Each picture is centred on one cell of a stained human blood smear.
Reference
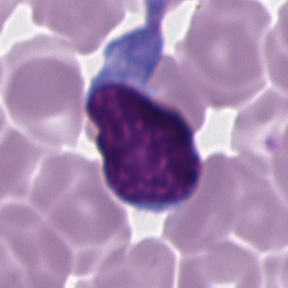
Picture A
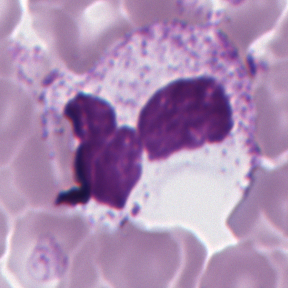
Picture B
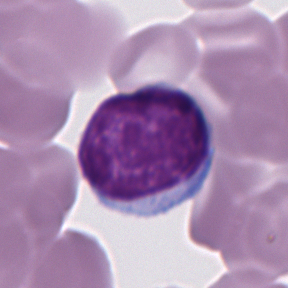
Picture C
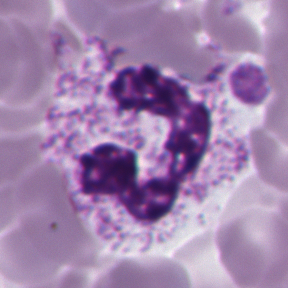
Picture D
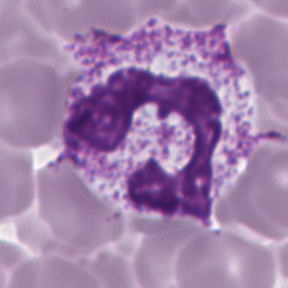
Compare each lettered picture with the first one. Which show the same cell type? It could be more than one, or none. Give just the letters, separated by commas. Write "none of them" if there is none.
B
